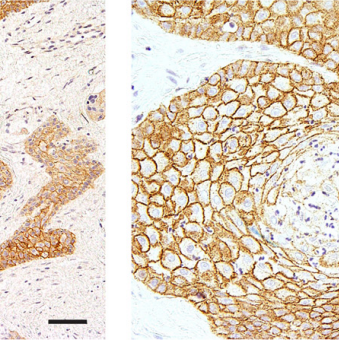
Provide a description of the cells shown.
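A carcinoma nest of large polygonal epithelial cells is seen with sharp brown membranes outlining each cell in a honeycomb pattern. Nuclei are round and blue, with pale cytoplasm between membranes. Toward the centre the cells become flatter and concentrically arranged around a pale core. A narrow pale band of stroma borders the nest.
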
